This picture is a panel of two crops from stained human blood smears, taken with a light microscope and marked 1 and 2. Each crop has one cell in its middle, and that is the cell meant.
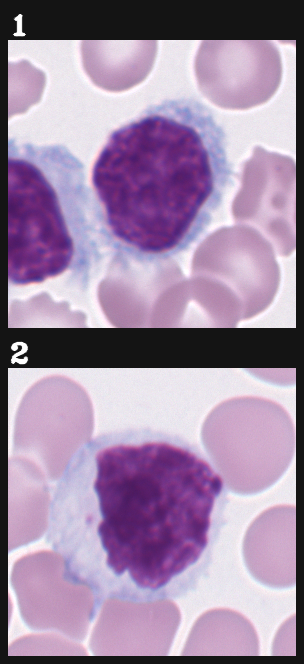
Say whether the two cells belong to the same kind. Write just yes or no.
yes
